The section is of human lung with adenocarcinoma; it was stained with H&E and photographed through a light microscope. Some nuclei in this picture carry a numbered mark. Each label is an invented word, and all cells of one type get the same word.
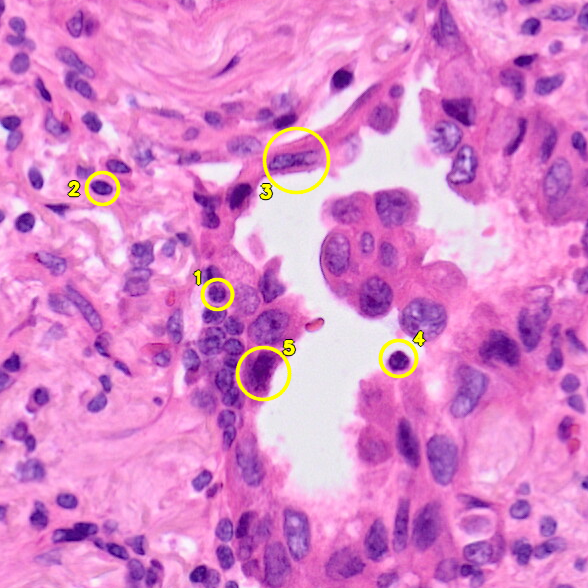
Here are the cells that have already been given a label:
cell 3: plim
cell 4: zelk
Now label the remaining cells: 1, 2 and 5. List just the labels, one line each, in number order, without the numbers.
zelk
zelk
plim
